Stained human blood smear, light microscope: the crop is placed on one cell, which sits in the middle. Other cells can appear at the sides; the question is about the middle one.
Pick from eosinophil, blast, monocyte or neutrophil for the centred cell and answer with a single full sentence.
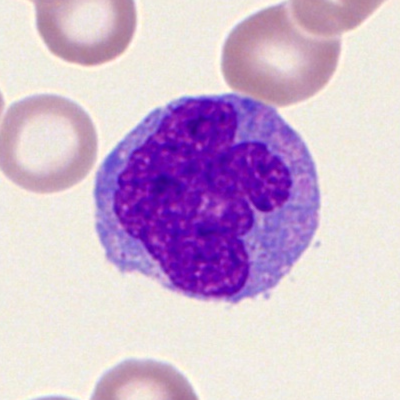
The target cell in the middle of the crop is a monocyte.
